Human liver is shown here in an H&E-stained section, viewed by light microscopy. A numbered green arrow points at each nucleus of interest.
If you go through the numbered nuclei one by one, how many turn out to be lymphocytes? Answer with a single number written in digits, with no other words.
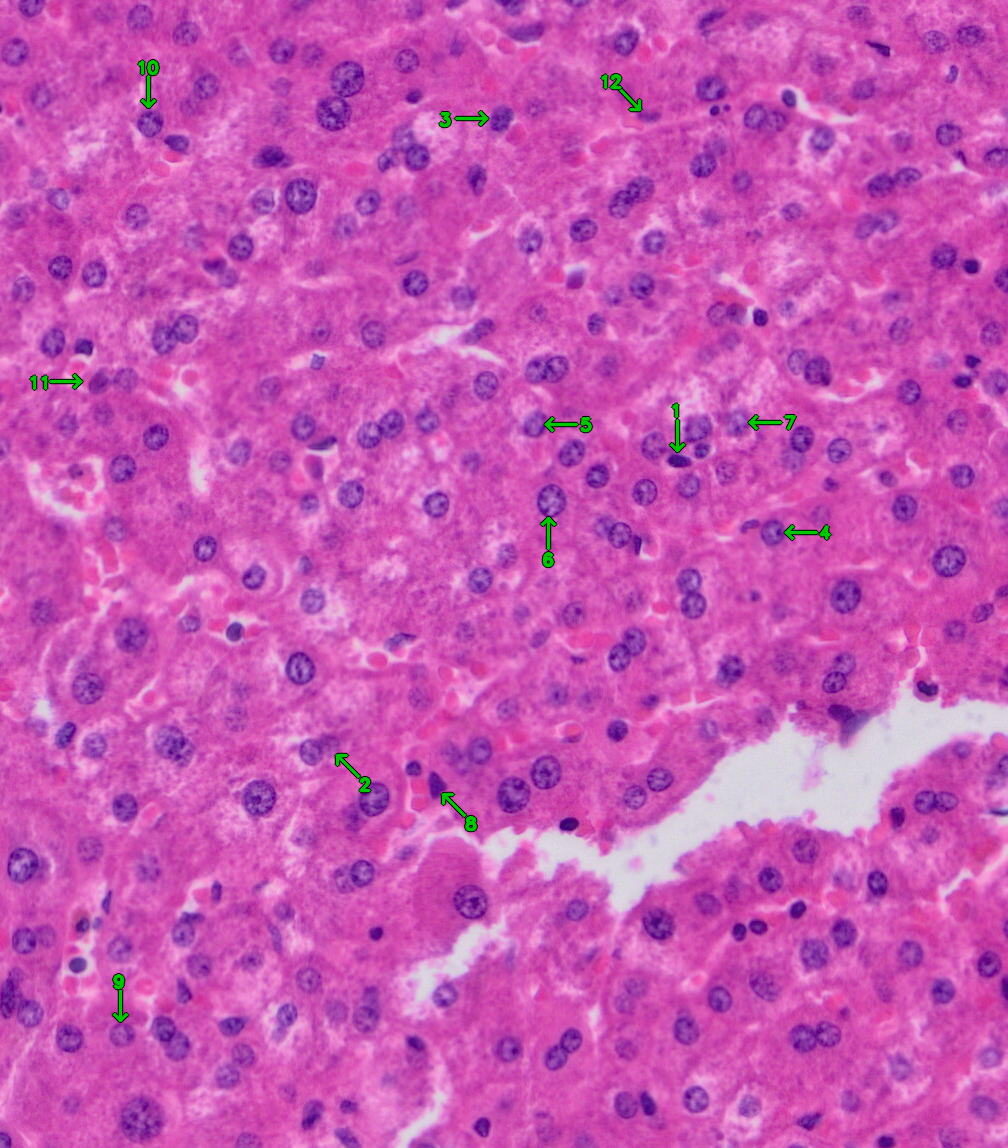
1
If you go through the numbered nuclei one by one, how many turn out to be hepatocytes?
7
